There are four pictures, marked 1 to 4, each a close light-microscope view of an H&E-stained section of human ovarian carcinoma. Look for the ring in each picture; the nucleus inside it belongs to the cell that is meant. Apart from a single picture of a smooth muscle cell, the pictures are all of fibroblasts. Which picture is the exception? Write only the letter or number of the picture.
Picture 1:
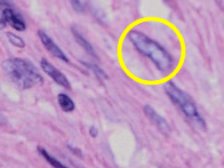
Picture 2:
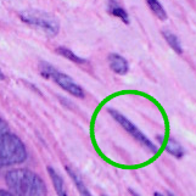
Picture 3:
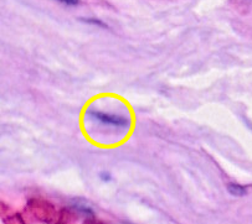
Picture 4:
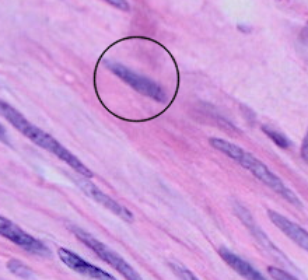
4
